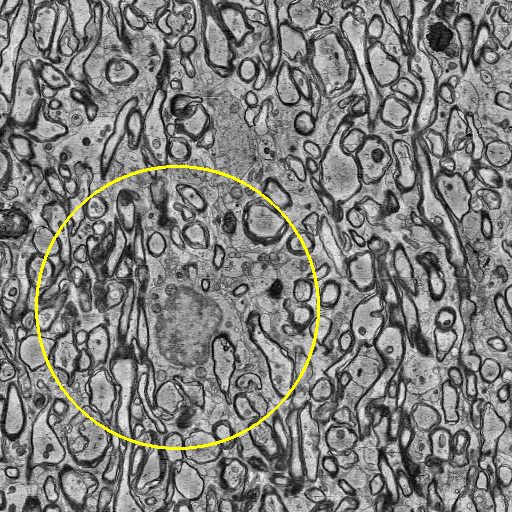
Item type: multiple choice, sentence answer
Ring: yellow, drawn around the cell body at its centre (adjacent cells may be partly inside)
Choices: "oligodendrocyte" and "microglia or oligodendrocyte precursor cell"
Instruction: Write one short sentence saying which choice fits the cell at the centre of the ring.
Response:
This ring is drawn around an oligodendrocyte.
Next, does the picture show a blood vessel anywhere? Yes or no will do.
No, there is no blood vessel.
